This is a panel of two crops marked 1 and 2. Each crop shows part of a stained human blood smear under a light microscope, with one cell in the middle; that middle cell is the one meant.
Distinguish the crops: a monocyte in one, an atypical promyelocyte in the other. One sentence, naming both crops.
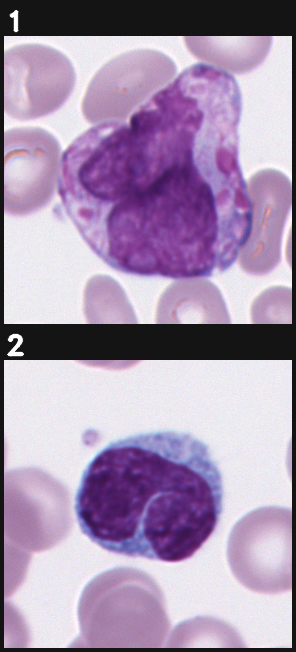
Crops 1 and 2 are, respectively, an atypical promyelocyte and a monocyte.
